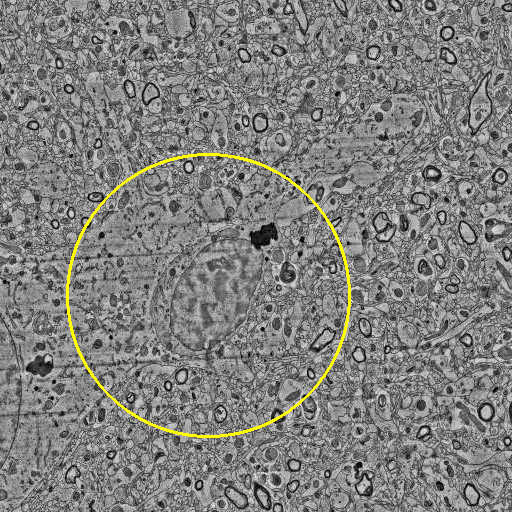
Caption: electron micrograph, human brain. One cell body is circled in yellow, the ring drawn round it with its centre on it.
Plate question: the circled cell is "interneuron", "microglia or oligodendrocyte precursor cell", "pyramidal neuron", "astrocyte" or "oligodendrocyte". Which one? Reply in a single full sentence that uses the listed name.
The yellow ring on the plate is centred on an oligodendrocyte, going by the listed names.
